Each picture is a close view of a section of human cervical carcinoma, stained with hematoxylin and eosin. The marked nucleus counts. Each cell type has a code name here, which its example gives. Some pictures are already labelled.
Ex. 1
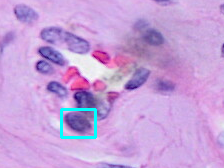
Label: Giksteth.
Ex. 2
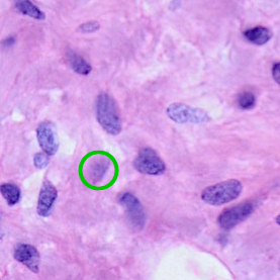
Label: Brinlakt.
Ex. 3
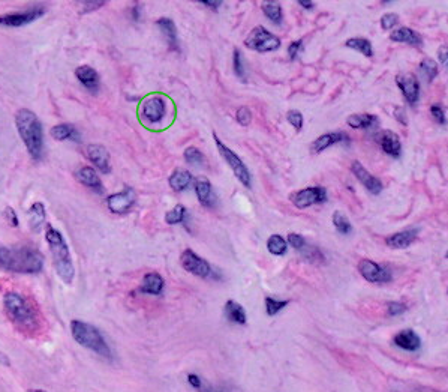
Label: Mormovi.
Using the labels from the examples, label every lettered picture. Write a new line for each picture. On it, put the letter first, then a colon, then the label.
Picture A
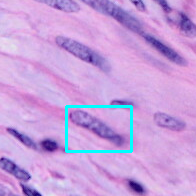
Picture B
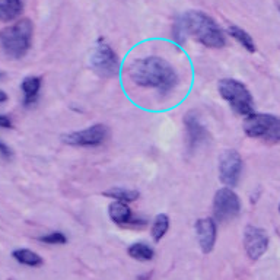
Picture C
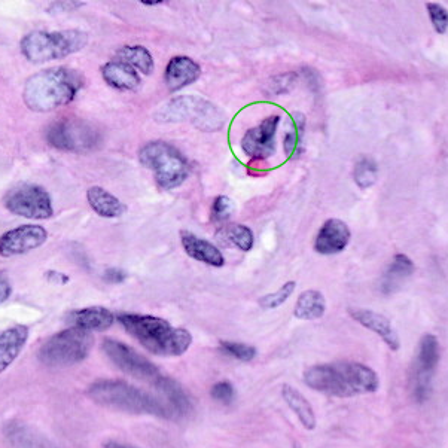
A: Mormovi.
B: Brinlakt.
C: Giksteth.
